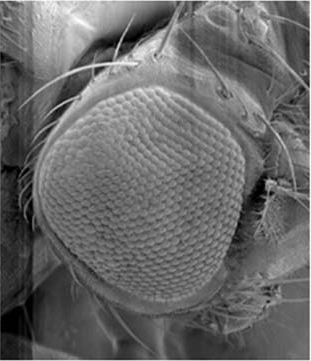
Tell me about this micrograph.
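This scanning electron micrograph shows a normally developed adult compound eye of a fly. The eye is a smooth, convex oval whose surface is made of hundreds of small, rounded facets, the ommatidia, packed in a regular hexagonal lattice that runs in even rows across the whole eye. The outline of the eye is sharp and uniform, with no folds, grooves or outgrowths. Around the eye lie the head cuticle and longer sensory bristles of the head.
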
